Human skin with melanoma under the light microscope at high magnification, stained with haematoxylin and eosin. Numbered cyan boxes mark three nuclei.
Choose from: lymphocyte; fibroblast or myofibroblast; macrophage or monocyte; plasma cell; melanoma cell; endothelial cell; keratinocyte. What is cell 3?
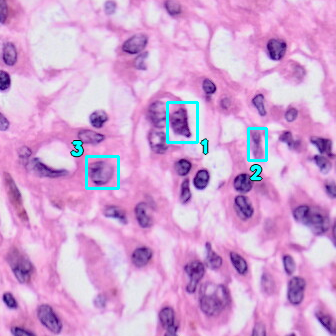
endothelial cell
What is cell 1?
melanoma cell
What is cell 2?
fibroblast or myofibroblast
